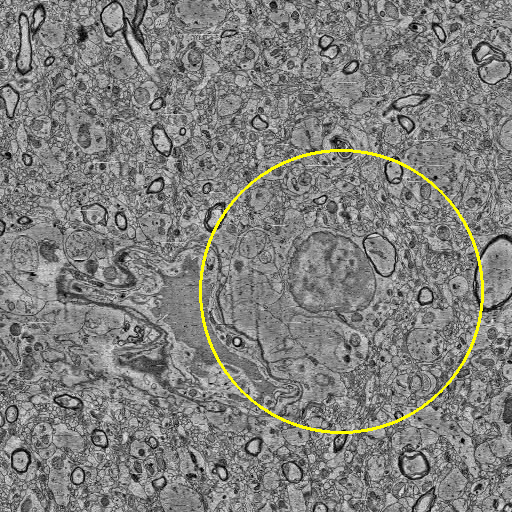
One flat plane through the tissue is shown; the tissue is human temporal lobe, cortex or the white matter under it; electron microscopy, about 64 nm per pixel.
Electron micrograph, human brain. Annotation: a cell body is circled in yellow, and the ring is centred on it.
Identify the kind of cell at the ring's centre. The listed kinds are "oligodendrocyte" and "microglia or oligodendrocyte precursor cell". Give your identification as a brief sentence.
The circled cell body is that of an oligodendrocyte.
